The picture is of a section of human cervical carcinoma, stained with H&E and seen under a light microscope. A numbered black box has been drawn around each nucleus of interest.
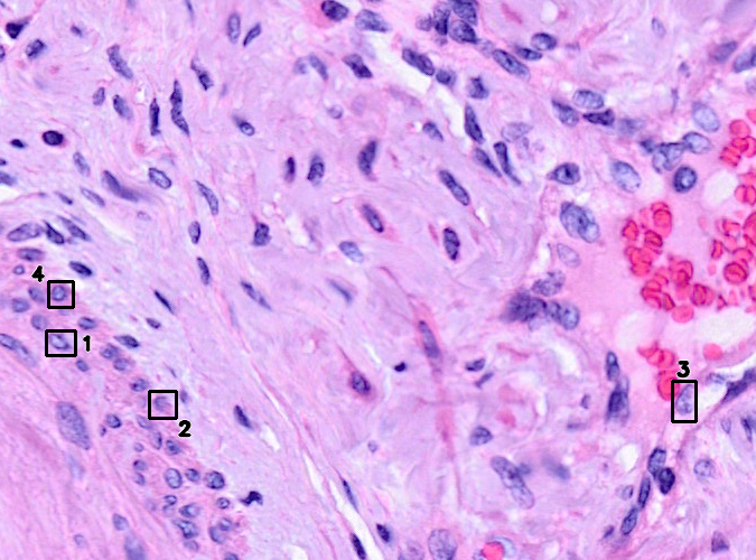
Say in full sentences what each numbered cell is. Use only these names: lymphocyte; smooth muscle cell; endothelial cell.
Cell 1 is a smooth muscle cell, cell 2 is a smooth muscle cell, cell 3 is an endothelial cell and cell 4 is a smooth muscle cell.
